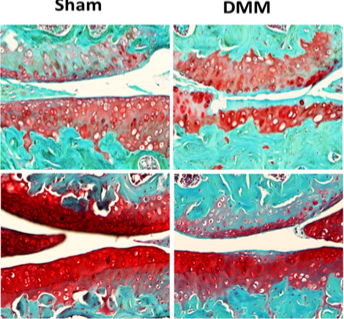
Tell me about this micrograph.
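This block of four sections shows the knee joint, where opposing layers of articular cartilage meet across a narrow white joint space. The cartilage matrix stains red to orange-red. Rounded chondrocytes sit singly or in small groups within lacunae in that matrix. Beneath the cartilage, the underlying bone and marrow stain green-blue, and the sections differ in how intense and how continuous the red staining of the cartilage is.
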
